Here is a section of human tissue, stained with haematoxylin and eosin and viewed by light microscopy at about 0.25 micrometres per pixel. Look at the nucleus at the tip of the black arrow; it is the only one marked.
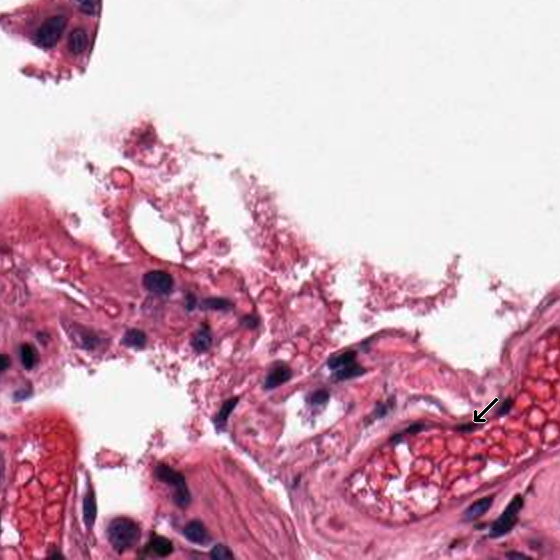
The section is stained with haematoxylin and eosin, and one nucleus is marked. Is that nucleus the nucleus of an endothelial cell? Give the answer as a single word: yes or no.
yes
